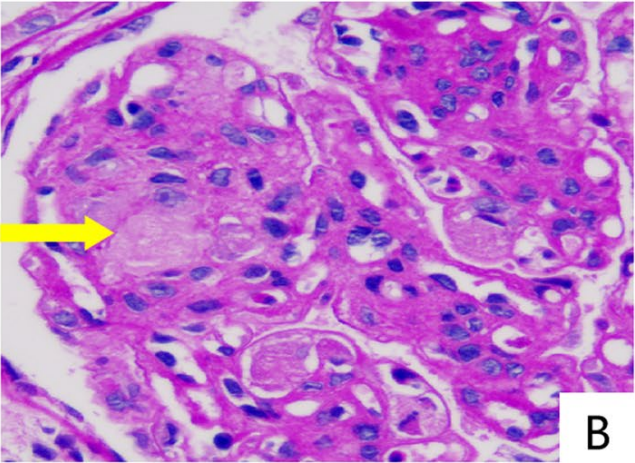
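Glomerular tuft with Gaucher cells lying in capillary lumina. Capillary loops are outlined by magenta-stained walls with scattered small dark blue nuclei of endothelial and mesangial cells. Several lumina are filled by large pale pink cells with abundant, faintly striated, wrinkled-looking cytoplasm, giving a crumpled appearance, and small eccentric nuclei. These pale cells expand and occlude the loops they occupy. Surrounding mesangial areas are pink and cellular. Bowman's space is seen as a clear rim at the upper left.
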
